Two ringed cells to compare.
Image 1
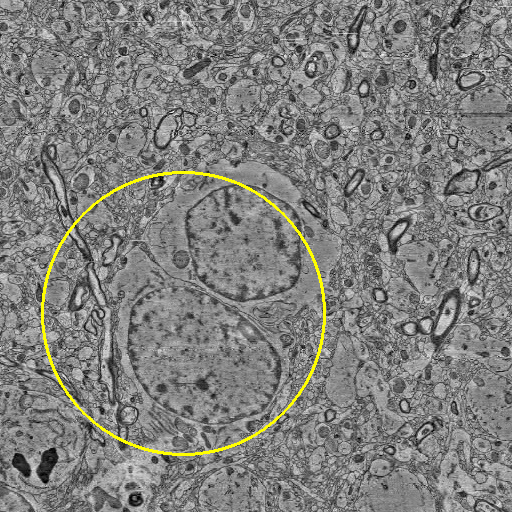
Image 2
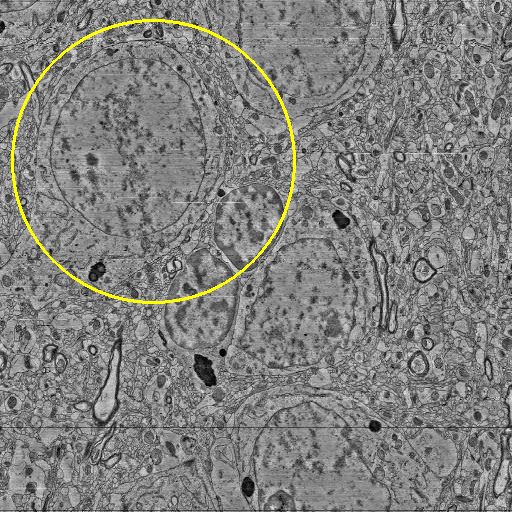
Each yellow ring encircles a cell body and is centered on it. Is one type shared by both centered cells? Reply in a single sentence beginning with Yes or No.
No, two types are found among the cells at the centers of the rings.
